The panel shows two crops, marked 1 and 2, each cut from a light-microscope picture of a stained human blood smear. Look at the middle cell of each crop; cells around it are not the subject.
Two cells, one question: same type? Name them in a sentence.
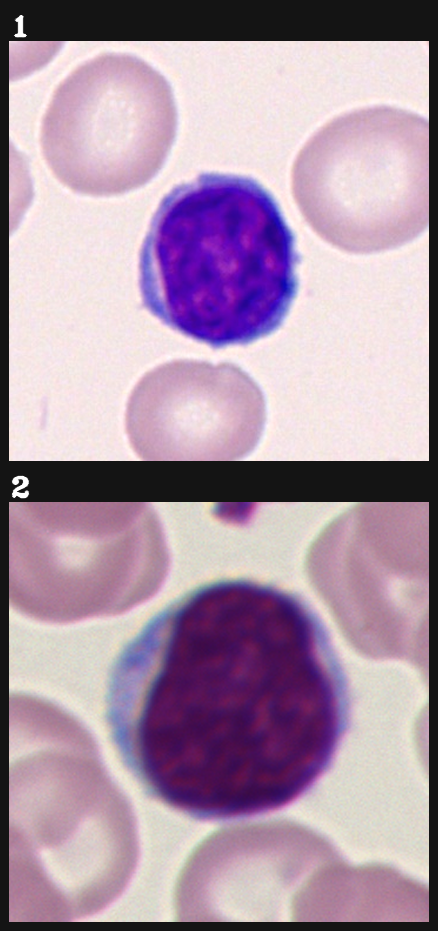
Yes, the cells at the middle of both crops are lymphocytes.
